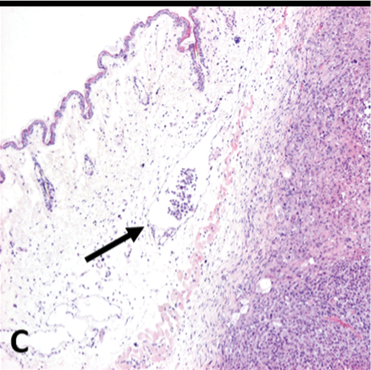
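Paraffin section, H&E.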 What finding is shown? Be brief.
Marked edema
